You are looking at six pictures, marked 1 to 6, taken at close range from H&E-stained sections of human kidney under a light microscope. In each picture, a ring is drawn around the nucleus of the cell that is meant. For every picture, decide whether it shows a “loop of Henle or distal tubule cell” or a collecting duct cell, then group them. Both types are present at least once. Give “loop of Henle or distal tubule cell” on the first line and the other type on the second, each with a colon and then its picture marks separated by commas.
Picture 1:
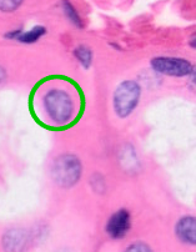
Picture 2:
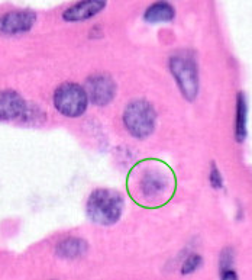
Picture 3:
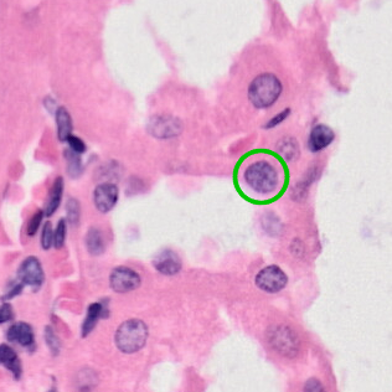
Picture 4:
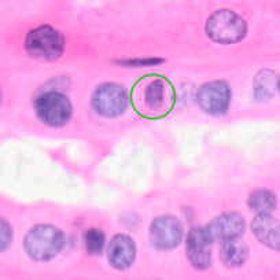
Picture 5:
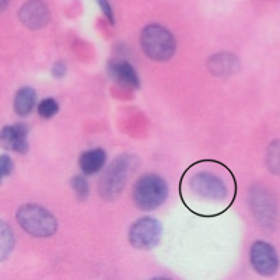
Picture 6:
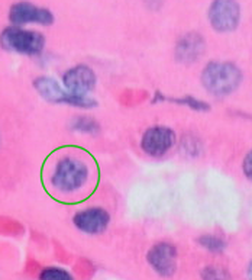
loop of Henle or distal tubule cell: 1, 2, 3, 6
collecting duct cell: 4, 5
